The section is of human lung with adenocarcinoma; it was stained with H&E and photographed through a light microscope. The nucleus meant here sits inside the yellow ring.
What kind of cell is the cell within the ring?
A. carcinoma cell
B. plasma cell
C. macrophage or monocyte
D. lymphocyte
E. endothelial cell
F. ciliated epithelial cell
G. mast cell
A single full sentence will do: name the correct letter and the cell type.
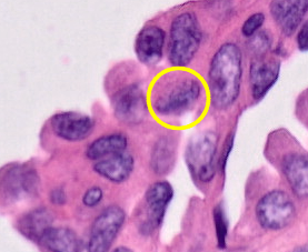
Option A names it right: the cell within the ring is a carcinoma cell.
